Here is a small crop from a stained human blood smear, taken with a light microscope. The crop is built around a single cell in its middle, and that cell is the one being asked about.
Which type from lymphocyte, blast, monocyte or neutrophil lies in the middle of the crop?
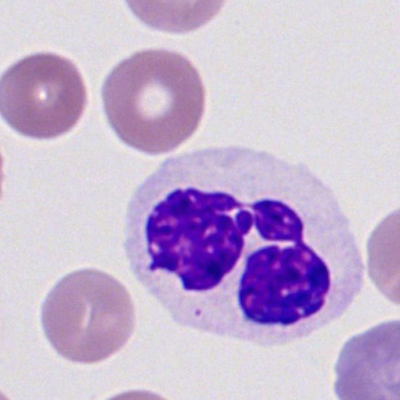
neutrophil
